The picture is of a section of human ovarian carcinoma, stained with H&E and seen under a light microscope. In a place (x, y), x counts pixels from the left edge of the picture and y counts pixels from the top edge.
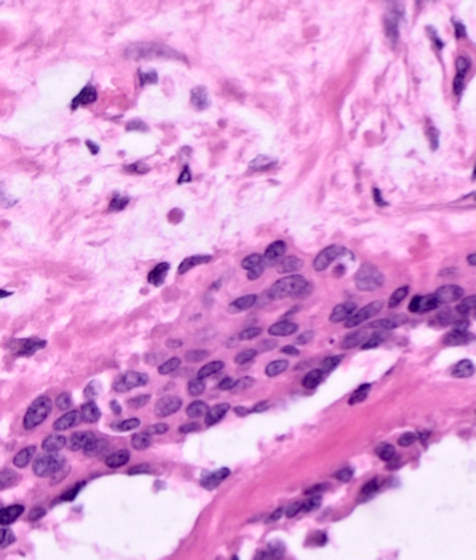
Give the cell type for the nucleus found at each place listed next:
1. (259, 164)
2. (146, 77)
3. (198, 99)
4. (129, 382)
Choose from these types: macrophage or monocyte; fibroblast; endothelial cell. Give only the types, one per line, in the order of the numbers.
fibroblast
fibroblast
fibroblast
macrophage or monocyte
